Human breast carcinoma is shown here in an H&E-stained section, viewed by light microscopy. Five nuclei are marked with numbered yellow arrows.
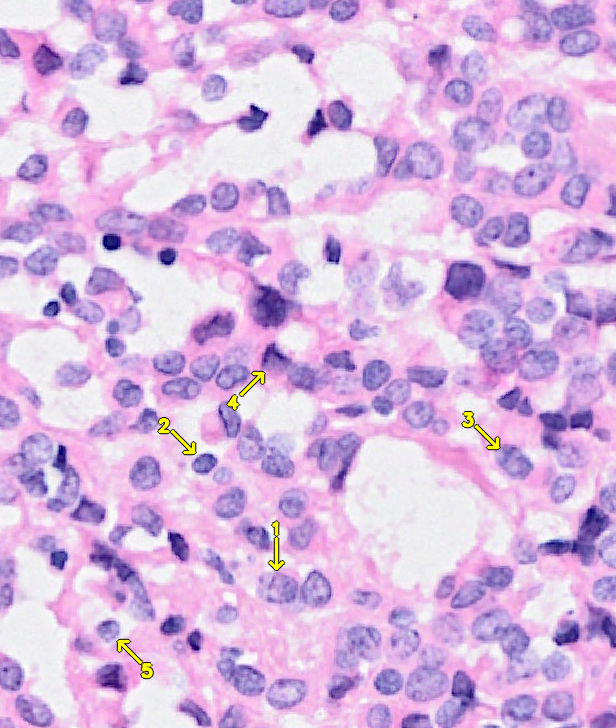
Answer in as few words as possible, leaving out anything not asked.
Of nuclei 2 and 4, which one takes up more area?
4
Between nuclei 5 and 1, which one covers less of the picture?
5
